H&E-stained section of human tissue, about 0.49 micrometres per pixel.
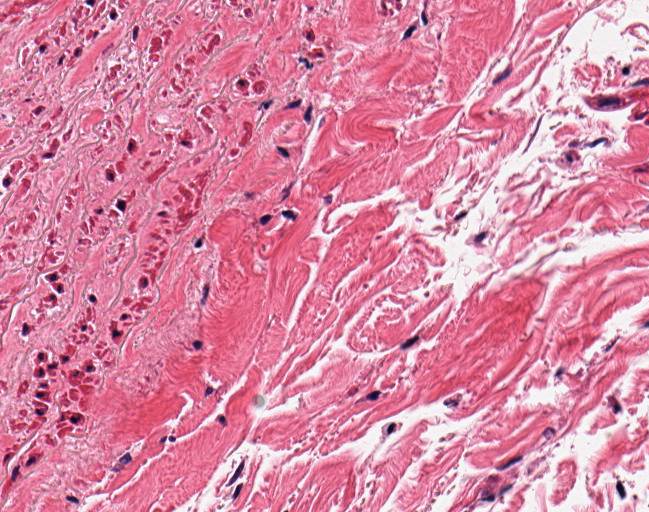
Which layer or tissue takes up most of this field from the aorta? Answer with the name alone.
tunica adventitia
